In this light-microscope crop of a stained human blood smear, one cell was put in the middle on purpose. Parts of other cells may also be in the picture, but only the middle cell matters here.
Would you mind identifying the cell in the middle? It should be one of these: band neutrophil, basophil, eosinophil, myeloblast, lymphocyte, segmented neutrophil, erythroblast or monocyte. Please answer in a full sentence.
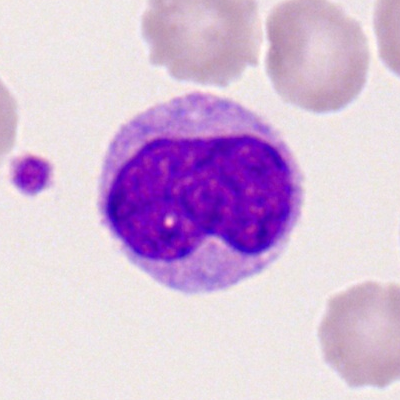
The middle cell in this particular crop is a monocyte.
